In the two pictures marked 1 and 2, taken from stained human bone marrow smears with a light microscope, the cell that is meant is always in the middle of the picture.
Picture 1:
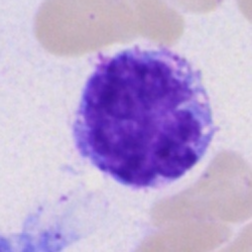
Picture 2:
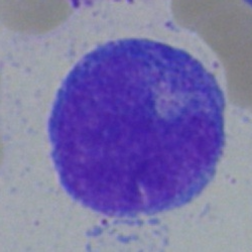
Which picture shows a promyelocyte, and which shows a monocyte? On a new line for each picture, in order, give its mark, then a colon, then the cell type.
1: monocyte
2: promyelocyte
